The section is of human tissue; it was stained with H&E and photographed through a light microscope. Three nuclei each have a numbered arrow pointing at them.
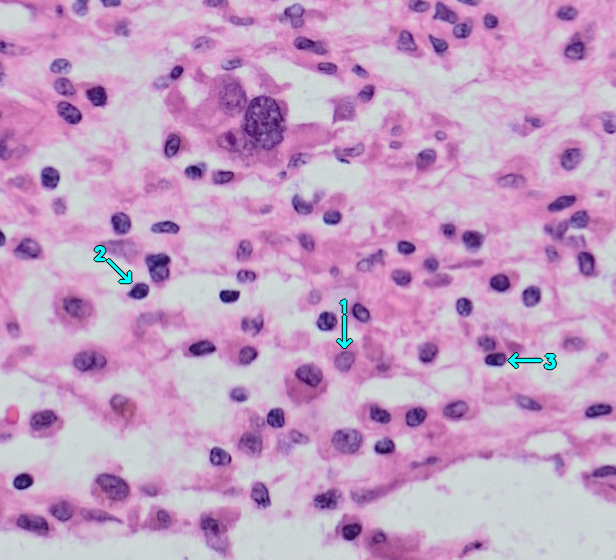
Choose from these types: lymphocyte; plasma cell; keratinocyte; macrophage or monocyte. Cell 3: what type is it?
lymphocyte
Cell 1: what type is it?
macrophage or monocyte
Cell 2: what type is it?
lymphocyte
